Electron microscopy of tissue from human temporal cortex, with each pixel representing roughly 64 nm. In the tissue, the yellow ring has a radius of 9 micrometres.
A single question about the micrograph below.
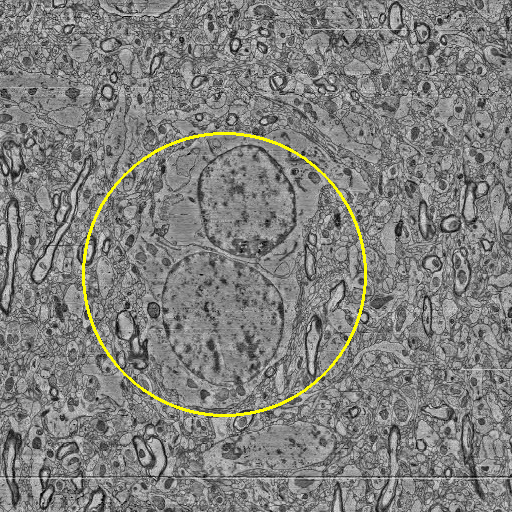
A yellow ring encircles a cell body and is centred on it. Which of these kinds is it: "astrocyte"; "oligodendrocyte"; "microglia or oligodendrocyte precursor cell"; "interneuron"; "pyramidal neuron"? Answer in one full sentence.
The cell body at the centre of the yellow ring belongs to an astrocyte.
